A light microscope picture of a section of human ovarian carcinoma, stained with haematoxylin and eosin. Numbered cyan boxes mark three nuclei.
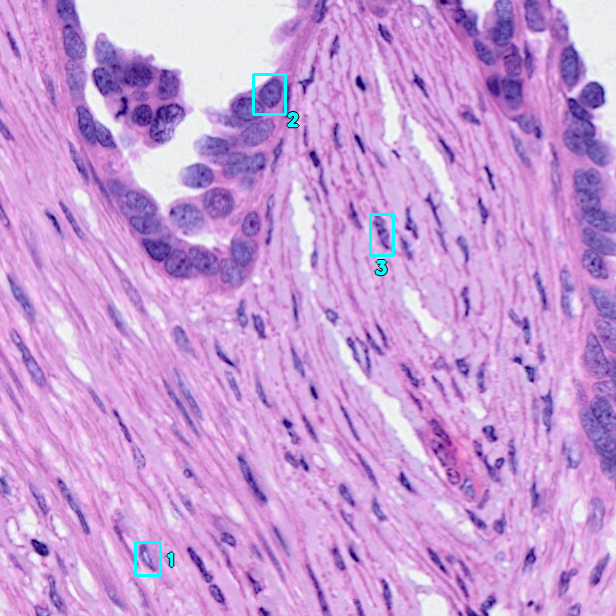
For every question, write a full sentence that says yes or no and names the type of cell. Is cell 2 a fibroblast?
No, number 2 is assigned to a carcinoma cell, not to a fibroblast.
